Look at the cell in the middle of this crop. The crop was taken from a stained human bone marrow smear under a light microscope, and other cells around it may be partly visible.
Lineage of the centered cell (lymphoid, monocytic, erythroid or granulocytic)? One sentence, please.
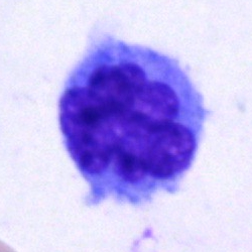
Under the monocytic lineage falls the cell in the middle of the crop.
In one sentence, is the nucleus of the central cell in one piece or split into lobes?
The nucleus has been partitioned into two or more lobes.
